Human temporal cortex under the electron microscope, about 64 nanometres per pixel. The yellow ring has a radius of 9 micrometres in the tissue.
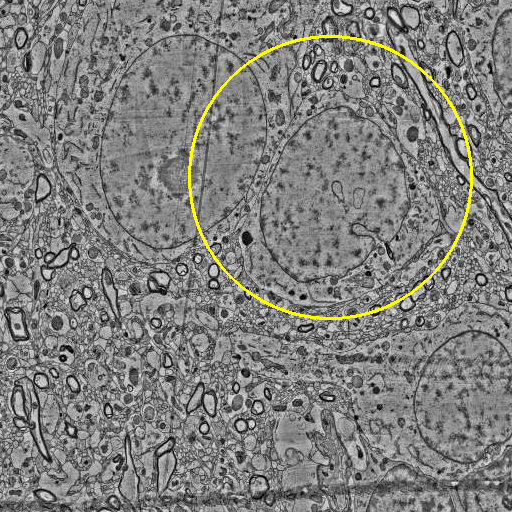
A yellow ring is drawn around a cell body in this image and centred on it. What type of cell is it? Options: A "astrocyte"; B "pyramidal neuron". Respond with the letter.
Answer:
B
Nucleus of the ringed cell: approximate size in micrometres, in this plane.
Roughly 11 by 9 micrometres in this plane, for the nucleus of the ringed cell.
